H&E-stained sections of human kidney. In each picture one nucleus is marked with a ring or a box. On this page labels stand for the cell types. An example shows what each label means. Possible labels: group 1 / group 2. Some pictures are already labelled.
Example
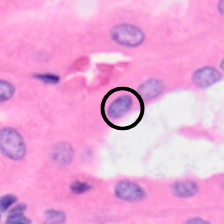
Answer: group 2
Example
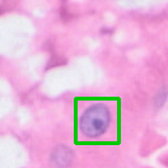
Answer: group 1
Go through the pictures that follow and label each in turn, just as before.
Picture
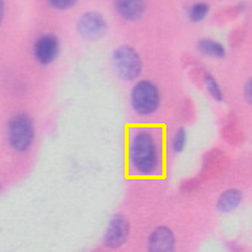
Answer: group 2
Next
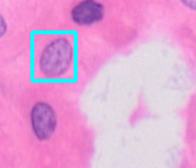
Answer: group 1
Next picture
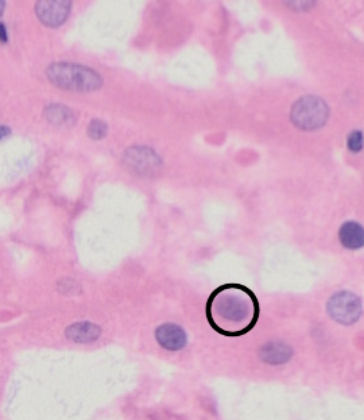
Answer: group 1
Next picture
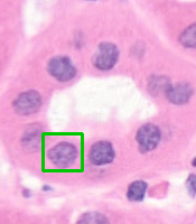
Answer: group 2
